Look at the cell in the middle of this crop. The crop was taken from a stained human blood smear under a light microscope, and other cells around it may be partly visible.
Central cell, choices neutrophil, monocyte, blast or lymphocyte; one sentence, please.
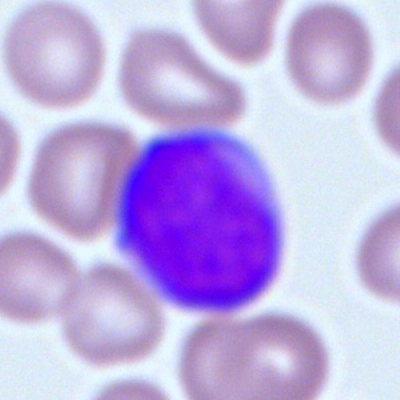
The cell nearest the centre of this crop is a blast.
